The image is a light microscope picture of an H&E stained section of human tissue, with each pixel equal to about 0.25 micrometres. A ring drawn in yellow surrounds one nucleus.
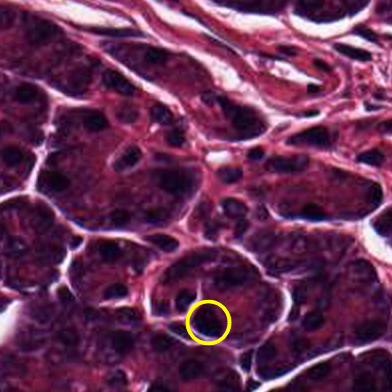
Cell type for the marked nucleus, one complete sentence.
What the marked nucleus belongs to is a pancreatic acinar cell.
